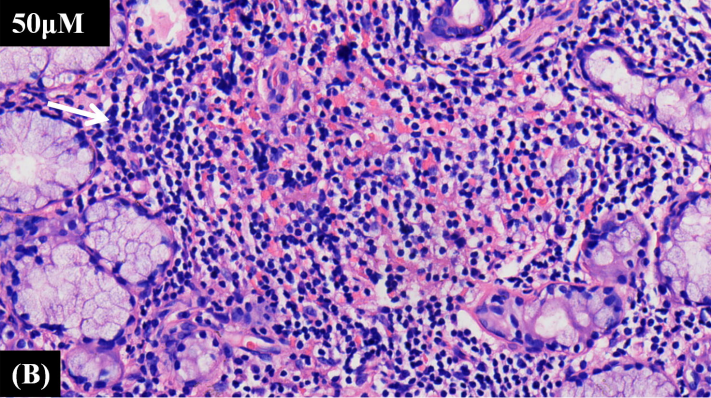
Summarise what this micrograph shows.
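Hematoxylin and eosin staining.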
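This is glandular tissue in which a dense infiltrate of lymphocytes fills the space between the glands. The lymphocytes are small cells with round, very dark purple nuclei and hardly any cytoplasm, packed closely together with pink strands of stroma among them. At the edges lie mucous acini, rounded groups of pale, foamy cells with small nuclei pressed to their bases, pushed apart by the infiltrate.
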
